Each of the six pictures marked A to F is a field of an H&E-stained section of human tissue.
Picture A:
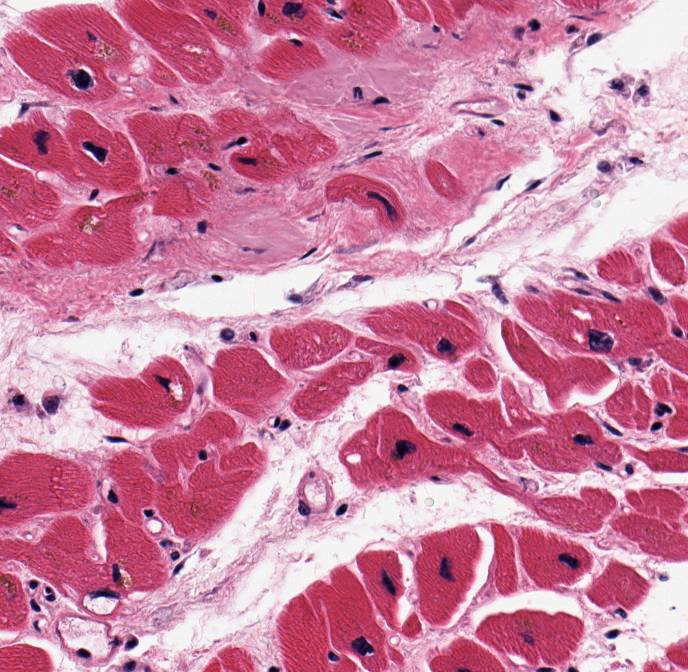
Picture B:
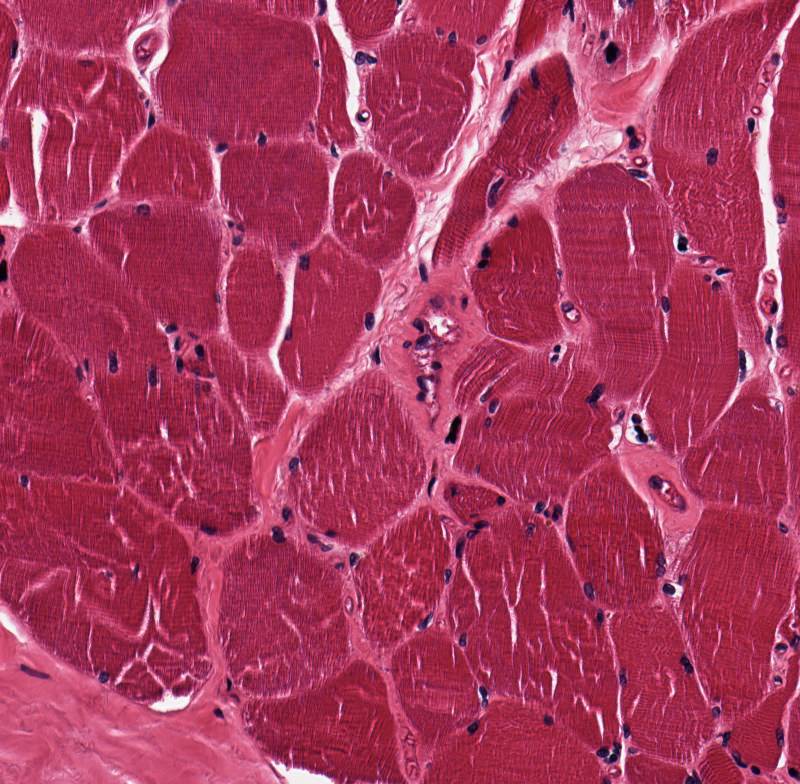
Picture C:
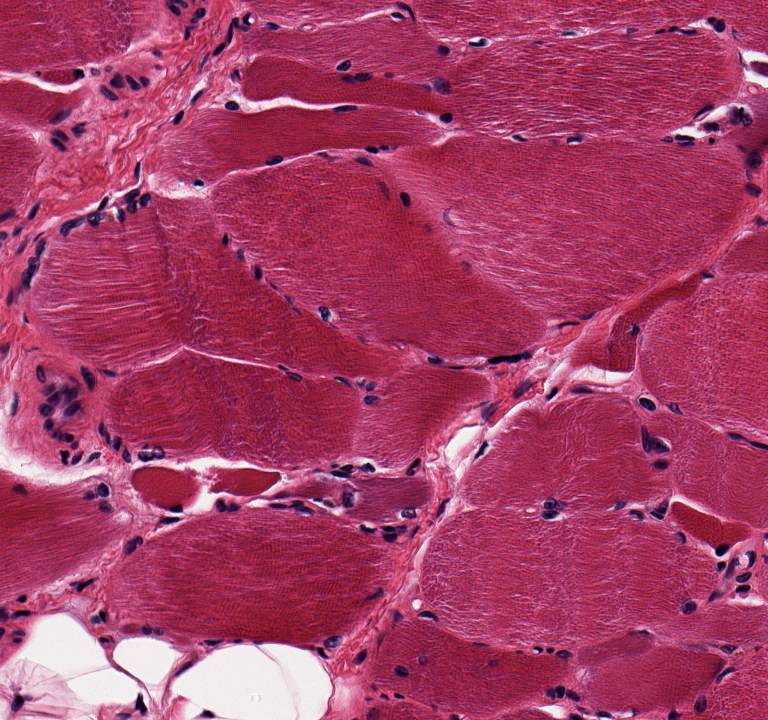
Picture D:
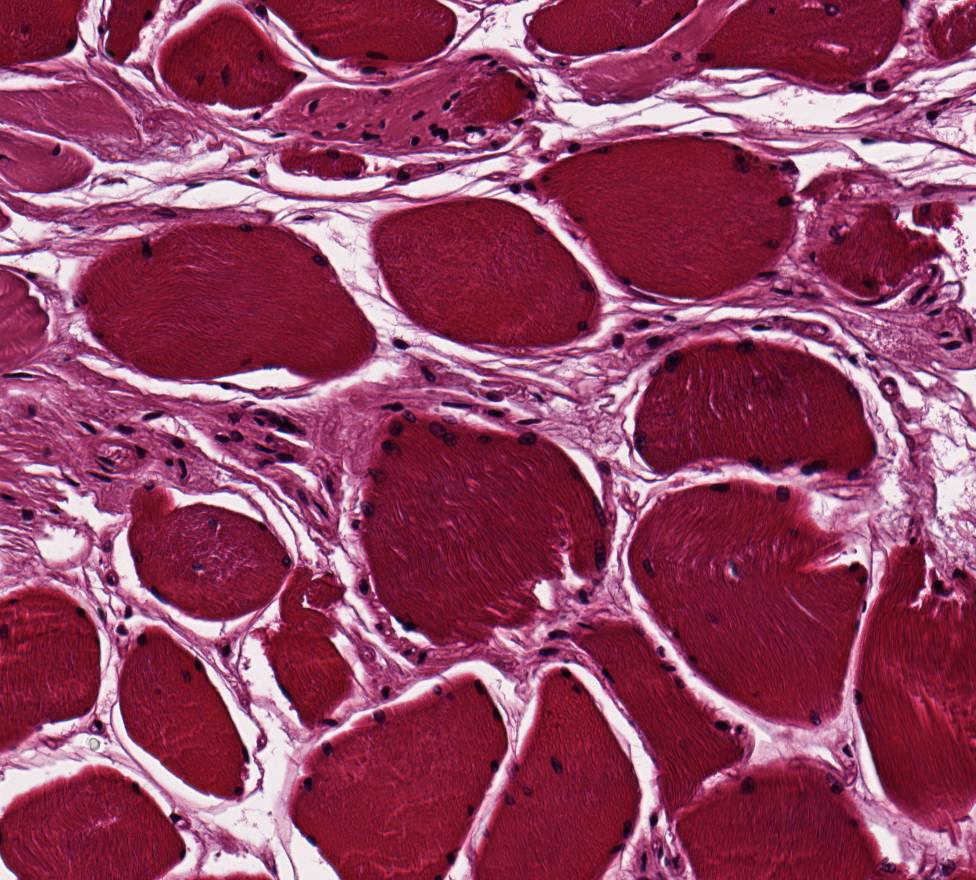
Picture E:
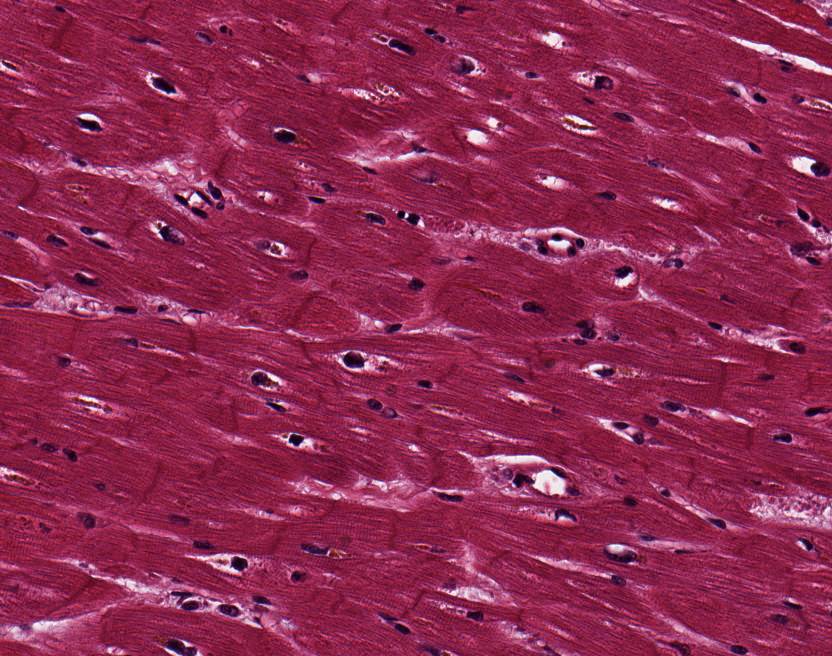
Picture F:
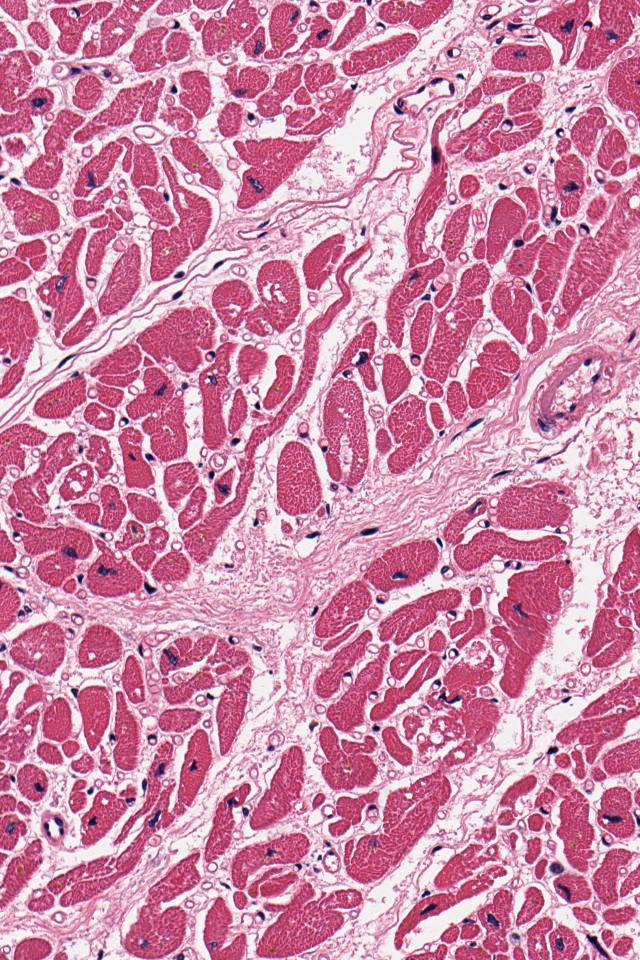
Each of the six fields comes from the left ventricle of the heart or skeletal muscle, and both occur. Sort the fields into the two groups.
A: left ventricle of the heart
B: skeletal muscle
C: skeletal muscle
D: skeletal muscle
E: left ventricle of the heart
F: left ventricle of the heart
